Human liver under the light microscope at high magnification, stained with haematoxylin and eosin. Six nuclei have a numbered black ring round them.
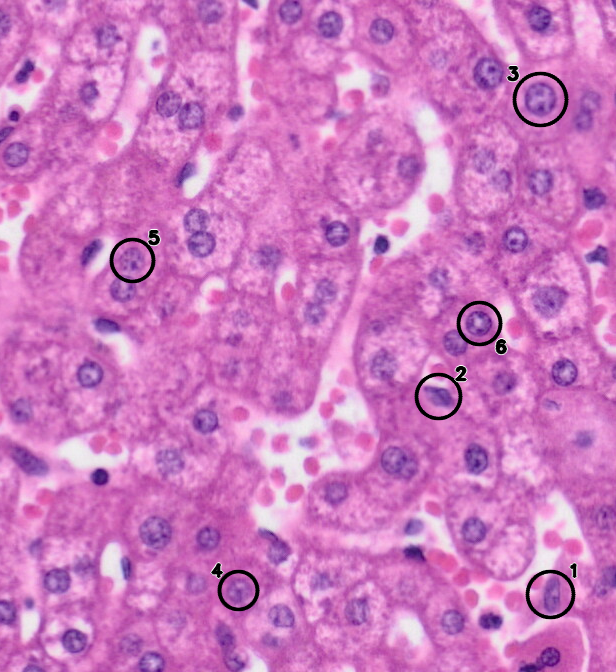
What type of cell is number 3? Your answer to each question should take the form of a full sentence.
The cell numbered 3 represents a hepatocyte.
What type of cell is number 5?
The identity of cell 5 is that of a hepatocyte.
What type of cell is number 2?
Number 2 is placed on an endothelial cell here.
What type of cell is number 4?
At number 4, the marked cell is a hepatocyte.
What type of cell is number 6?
The cell numbered 6 represents a hepatocyte.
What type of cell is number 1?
The cell bearing label 1 corresponds to a Kupffer cell.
